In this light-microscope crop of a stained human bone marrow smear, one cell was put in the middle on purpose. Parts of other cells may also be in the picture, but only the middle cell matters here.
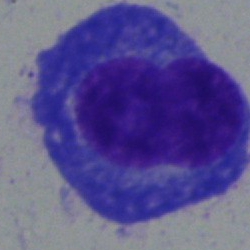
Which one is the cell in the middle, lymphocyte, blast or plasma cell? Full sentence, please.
Located at the centre of the crop is a plasma cell.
